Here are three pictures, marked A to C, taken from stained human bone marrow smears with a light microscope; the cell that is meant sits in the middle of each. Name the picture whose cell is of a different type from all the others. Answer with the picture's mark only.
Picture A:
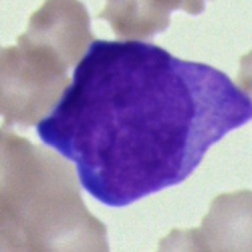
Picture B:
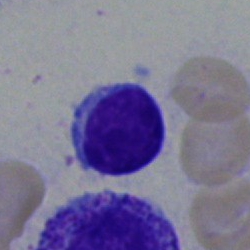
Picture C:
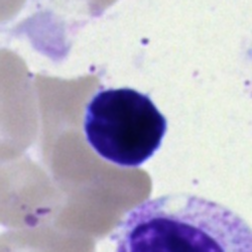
A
